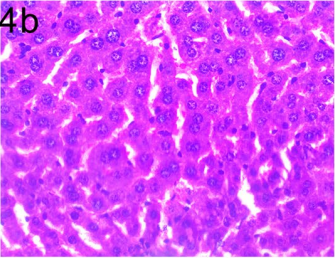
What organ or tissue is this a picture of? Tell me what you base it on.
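Polygonal cells with round central nuclei and prominent nucleoli form cords. Narrow white clefts run between the cell cords.
Hence: liver.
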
